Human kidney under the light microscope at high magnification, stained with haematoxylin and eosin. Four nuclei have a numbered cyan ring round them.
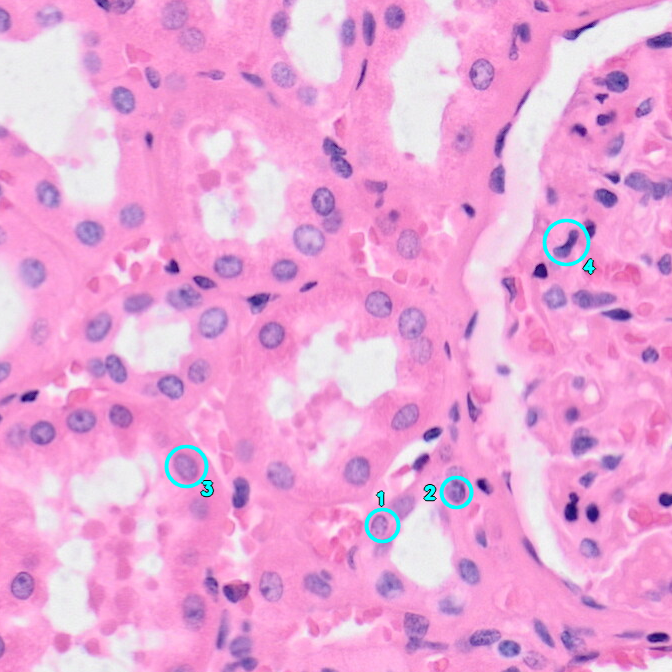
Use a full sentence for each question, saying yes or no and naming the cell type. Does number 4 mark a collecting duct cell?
No, with respect, cell 4 is an endothelial cell rather than a collecting duct cell.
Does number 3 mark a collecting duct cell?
No, not a collecting duct cell: the cell with number 3 is a proximal tubule cell.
